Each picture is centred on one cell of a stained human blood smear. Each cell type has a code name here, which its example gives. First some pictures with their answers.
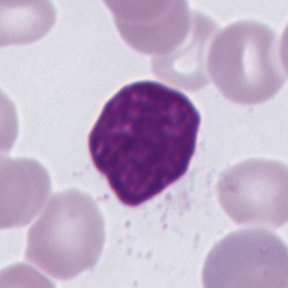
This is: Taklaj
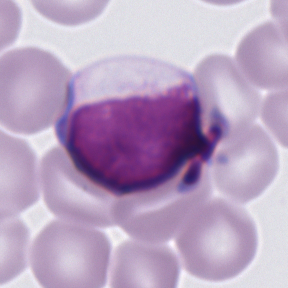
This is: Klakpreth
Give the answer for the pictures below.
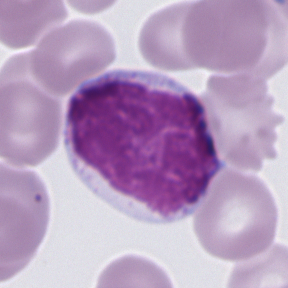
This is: Klakpreth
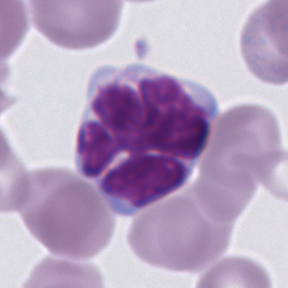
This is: Klakpreth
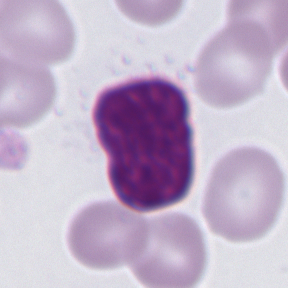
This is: Taklaj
